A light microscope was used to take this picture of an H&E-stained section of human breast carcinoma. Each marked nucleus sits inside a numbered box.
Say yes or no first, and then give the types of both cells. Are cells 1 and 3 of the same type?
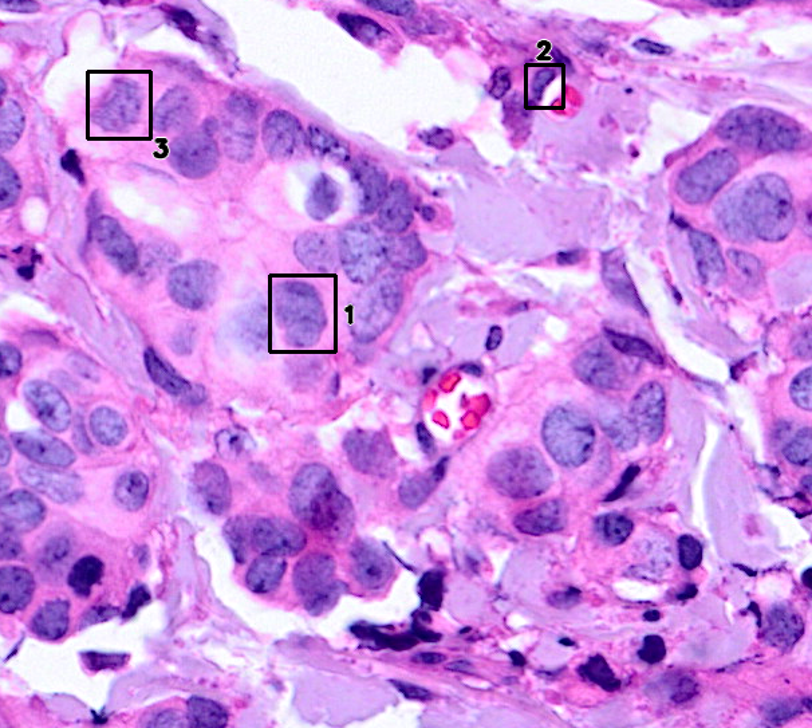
Yes, cells 1 and 3 are carcinoma cells, the two of them alike.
